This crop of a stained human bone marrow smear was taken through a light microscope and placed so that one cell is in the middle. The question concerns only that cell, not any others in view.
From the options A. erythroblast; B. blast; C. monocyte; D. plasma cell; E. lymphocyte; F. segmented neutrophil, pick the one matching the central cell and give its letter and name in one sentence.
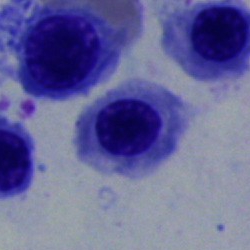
Option A stands as correct, the central cell being an erythroblast.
